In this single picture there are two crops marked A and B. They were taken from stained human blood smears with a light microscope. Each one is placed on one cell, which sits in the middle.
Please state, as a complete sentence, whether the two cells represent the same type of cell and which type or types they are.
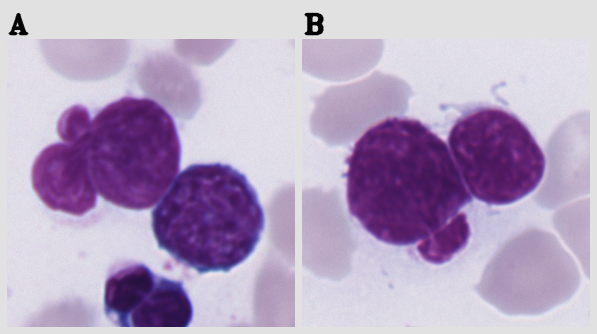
Yes, as an answer for this item, both crops show myeloblasts.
